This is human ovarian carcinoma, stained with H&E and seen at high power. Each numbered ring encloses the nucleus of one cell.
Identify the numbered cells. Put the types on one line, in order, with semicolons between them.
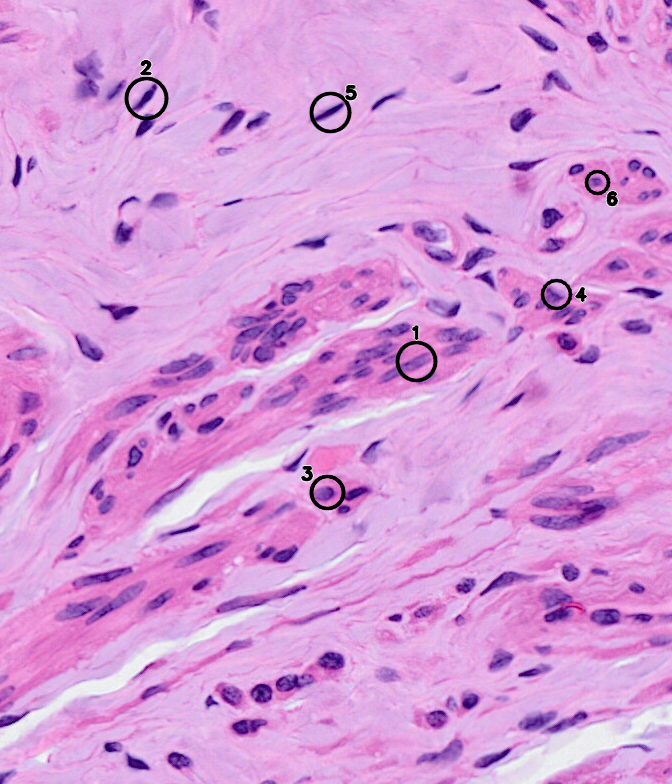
smooth muscle cell; fibroblast; smooth muscle cell; smooth muscle cell; fibroblast; smooth muscle cell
